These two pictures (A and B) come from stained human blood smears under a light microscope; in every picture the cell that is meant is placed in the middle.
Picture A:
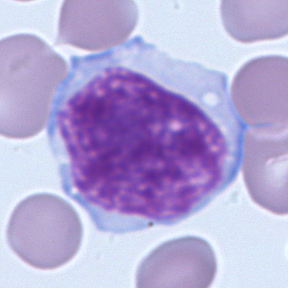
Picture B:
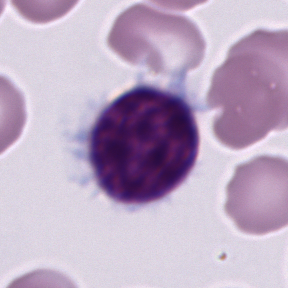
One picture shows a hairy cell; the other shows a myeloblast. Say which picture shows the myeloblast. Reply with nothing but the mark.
A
